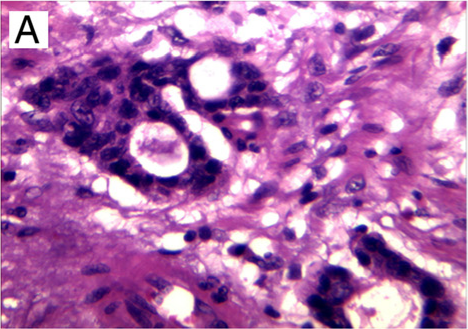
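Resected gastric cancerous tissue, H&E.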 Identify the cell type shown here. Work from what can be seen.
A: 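Atypical cells with large dark nuclei form glands around lumens. The glands are irregular and set in stroma. So: adenocarcinoma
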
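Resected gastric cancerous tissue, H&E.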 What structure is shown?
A: Tubular structure formation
